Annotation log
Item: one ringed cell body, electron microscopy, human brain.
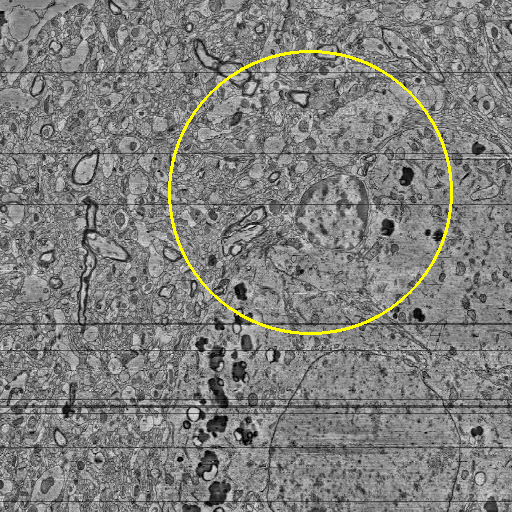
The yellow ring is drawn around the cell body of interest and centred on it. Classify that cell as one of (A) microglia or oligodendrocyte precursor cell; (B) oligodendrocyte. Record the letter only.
A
